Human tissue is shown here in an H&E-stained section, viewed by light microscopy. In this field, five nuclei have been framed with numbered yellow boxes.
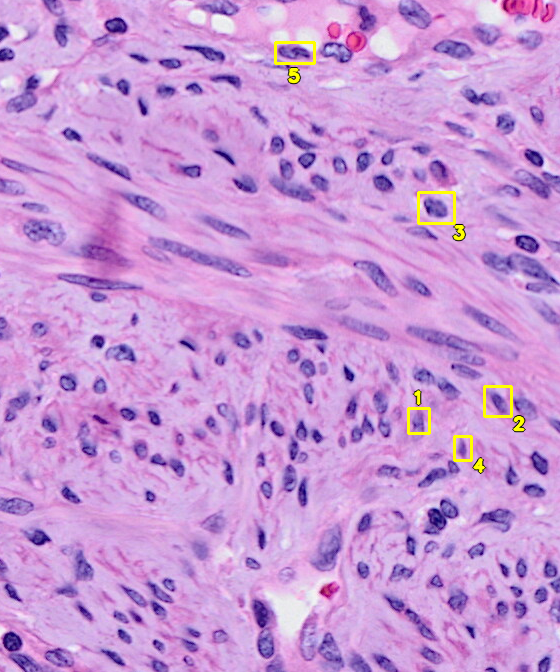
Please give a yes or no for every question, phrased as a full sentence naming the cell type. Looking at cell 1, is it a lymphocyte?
No, number 1 marks a smooth muscle cell rather than a lymphocyte.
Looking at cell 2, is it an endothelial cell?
No, the right label for cell 2 is a smooth muscle cell rather than an endothelial cell.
